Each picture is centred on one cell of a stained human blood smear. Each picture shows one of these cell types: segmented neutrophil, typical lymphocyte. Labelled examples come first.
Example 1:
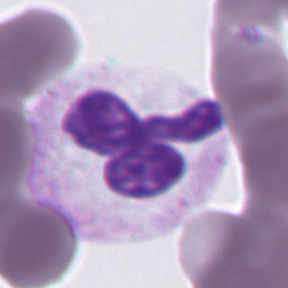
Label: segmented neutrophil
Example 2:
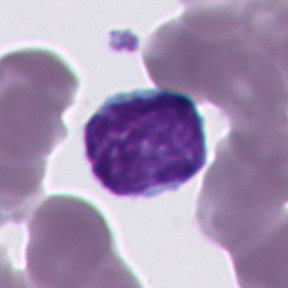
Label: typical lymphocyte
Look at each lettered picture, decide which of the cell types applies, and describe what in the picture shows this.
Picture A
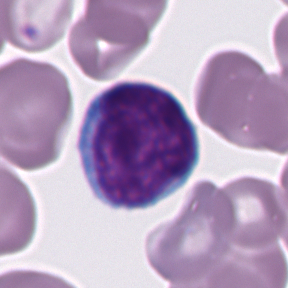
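typical lymphocyte: The cytoplasm forms only a thin rim around the nucleus.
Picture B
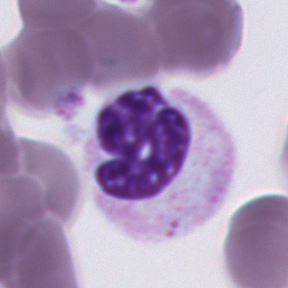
segmented neutrophil: The cytoplasm is abundant and pale pink.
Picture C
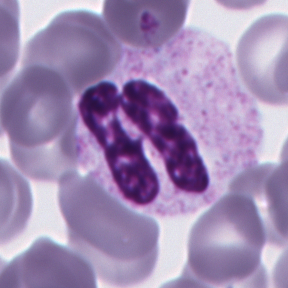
segmented neutrophil: The cytoplasm is plentiful and pale pink.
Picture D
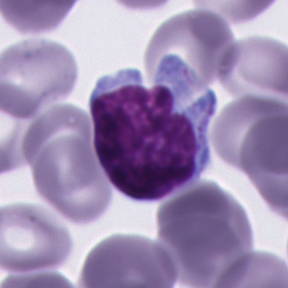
typical lymphocyte: The cytoplasm is scant and lies mainly above and to the right of the nucleus.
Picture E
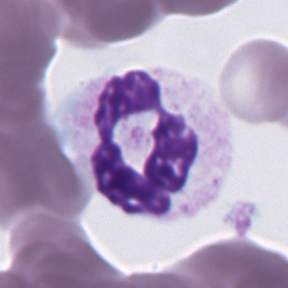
segmented neutrophil: The cytoplasm is pale pink.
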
